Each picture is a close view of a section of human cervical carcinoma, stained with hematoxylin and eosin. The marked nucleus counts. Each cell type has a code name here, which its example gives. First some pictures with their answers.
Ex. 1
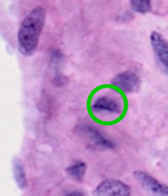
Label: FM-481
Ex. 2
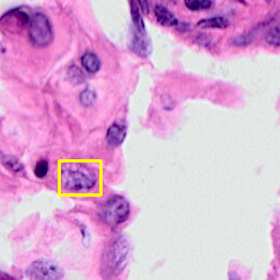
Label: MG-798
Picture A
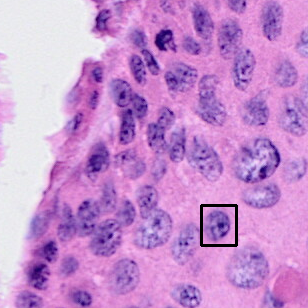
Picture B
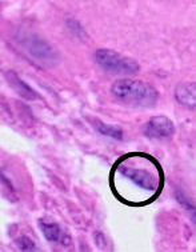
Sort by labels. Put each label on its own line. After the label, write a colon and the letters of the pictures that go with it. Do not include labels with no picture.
FM-481: B
MG-798: A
